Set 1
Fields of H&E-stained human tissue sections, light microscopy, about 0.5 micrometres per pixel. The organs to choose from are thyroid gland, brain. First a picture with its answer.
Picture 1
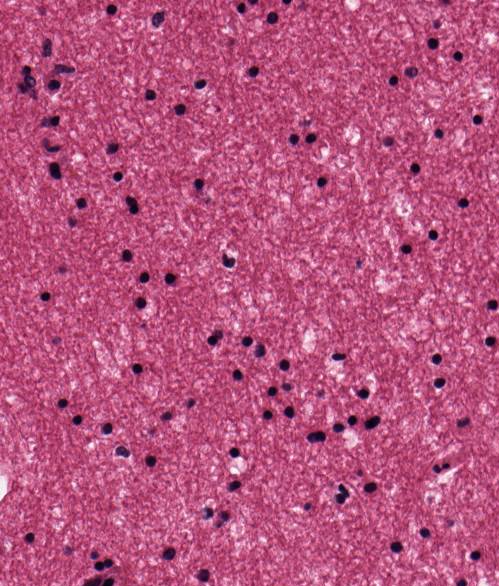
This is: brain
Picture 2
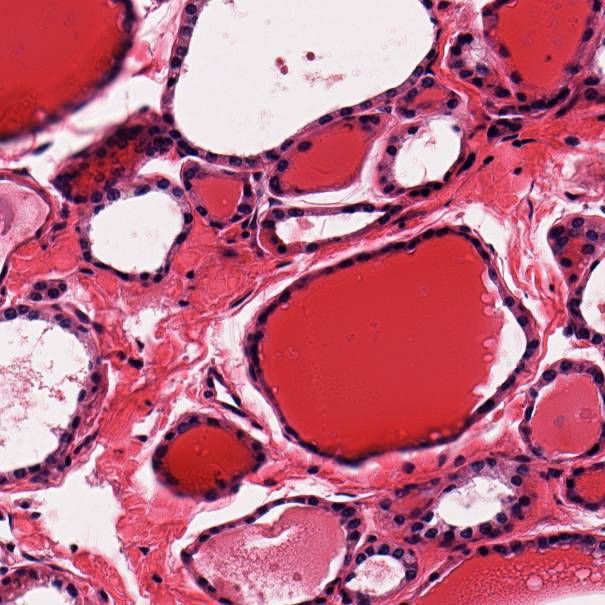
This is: thyroid gland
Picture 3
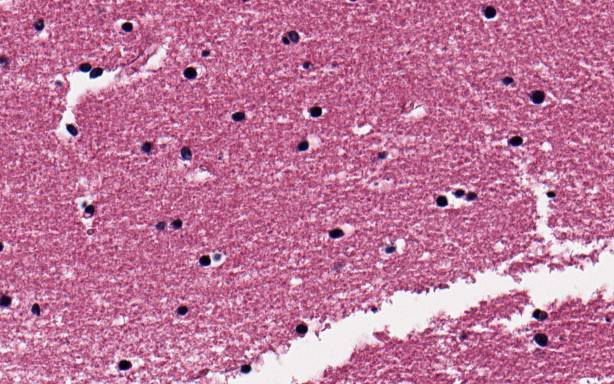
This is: brain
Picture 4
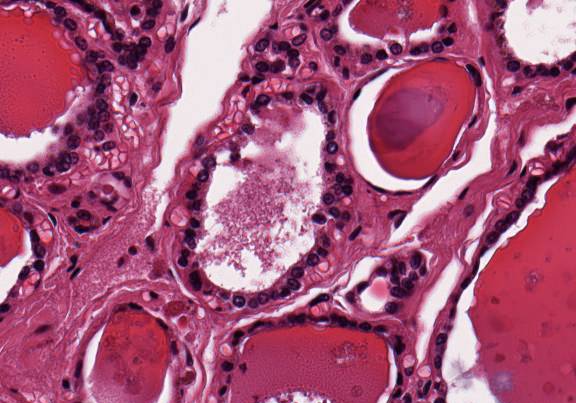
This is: thyroid gland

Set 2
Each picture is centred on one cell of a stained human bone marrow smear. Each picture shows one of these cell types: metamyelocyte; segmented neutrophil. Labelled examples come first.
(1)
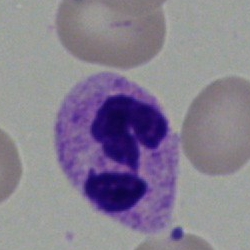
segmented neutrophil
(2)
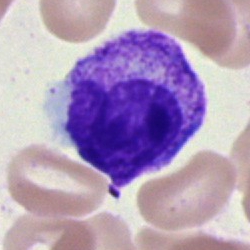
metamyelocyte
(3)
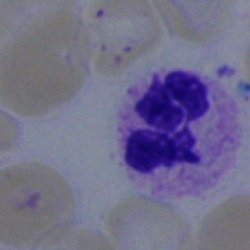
segmented neutrophil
